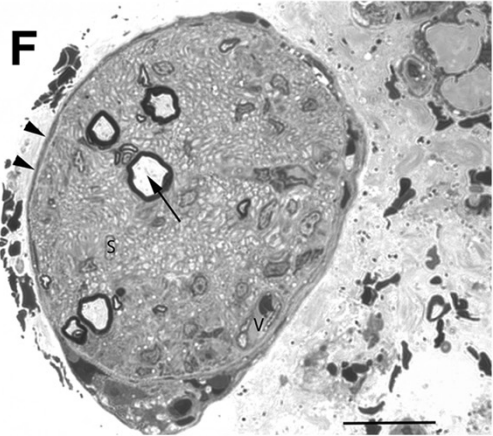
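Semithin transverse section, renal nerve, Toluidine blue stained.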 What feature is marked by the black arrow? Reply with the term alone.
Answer: Myelinated fibers.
